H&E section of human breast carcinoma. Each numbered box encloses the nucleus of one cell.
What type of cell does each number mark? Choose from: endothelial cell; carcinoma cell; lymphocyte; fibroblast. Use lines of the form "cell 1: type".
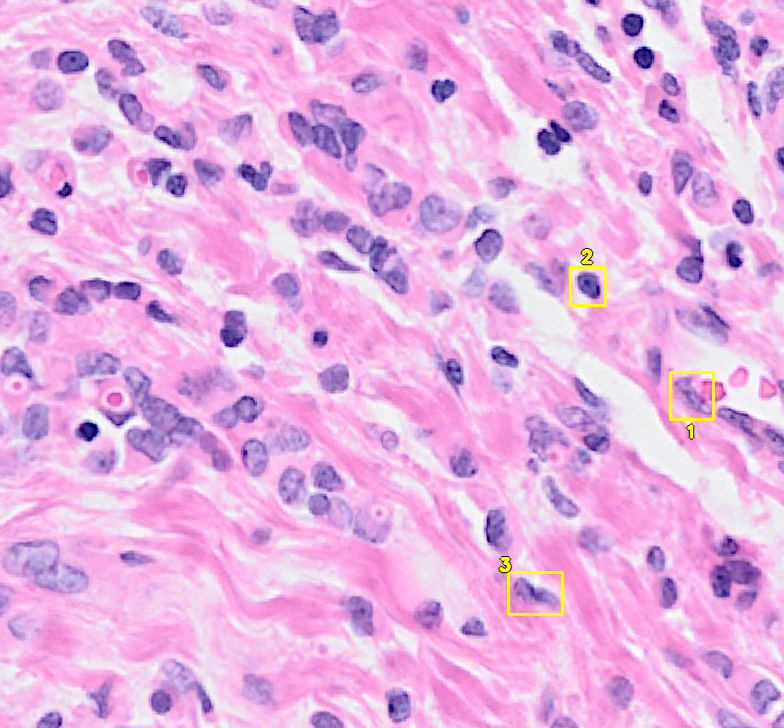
cell 1: endothelial cell
cell 2: lymphocyte
cell 3: fibroblast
